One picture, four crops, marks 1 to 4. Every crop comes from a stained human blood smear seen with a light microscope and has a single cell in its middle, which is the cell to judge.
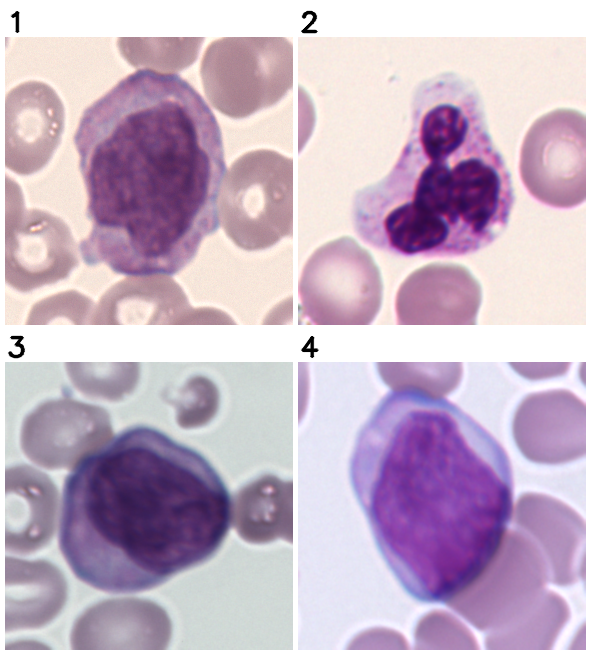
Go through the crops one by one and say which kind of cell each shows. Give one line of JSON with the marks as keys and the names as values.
{"1": "atypical promyelocyte", "2": "neutrophil", "3": "atypical promyelocyte", "4": "atypical promyelocyte"}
